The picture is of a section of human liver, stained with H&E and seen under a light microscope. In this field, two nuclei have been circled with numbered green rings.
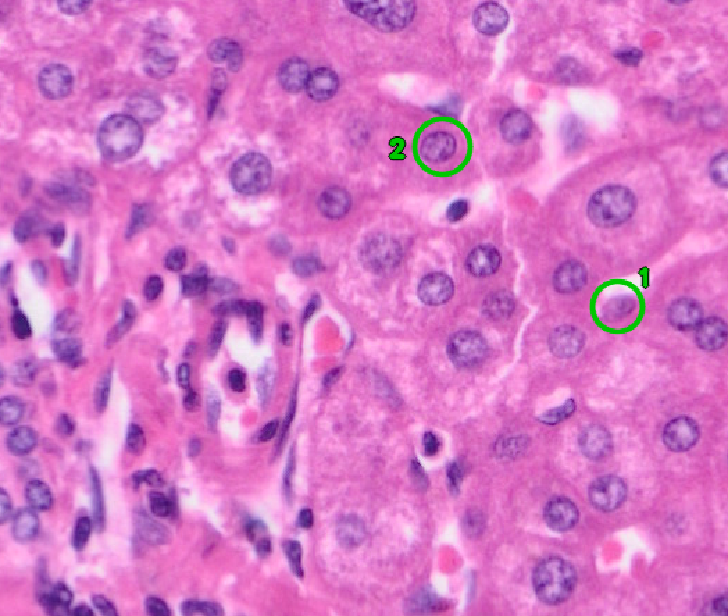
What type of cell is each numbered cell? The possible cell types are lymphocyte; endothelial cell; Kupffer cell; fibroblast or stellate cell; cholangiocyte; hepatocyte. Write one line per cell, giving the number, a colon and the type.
1: Kupffer cell
2: hepatocyte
